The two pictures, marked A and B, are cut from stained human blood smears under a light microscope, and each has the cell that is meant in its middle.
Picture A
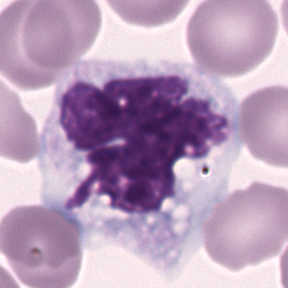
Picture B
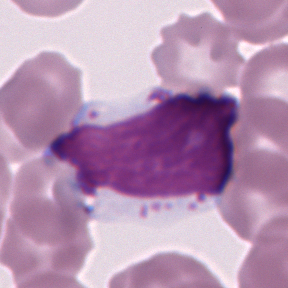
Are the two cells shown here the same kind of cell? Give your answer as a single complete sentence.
No, they differ: the cell is a monocyte in picture A and a large granular lymphocyte in picture B.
